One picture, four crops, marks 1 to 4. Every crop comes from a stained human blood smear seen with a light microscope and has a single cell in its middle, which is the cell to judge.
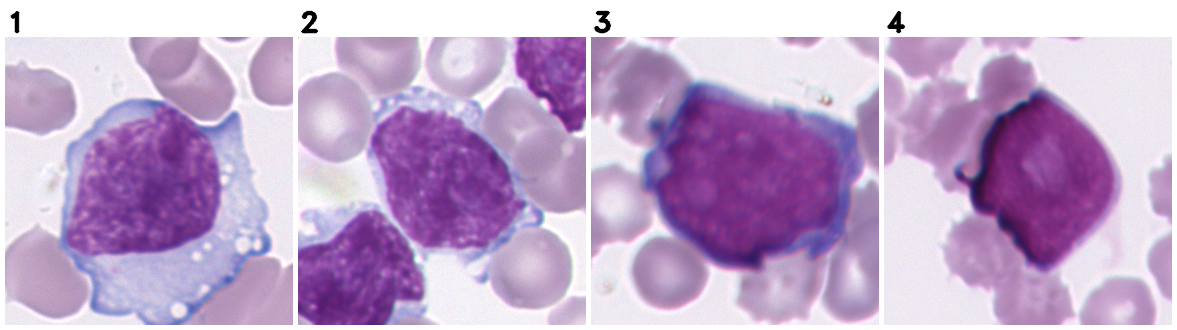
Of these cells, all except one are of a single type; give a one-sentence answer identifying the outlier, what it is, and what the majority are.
Crop 2 is a lymphocyte, while the rest of the set consists of blasts.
